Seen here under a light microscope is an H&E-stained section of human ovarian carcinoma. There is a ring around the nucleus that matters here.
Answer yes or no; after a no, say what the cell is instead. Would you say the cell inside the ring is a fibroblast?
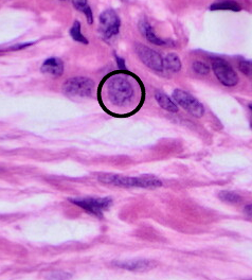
No, it is a carcinoma cell.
